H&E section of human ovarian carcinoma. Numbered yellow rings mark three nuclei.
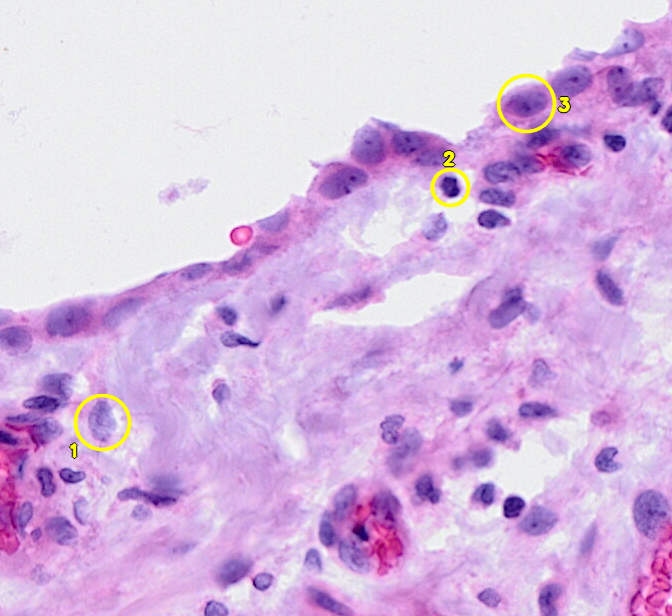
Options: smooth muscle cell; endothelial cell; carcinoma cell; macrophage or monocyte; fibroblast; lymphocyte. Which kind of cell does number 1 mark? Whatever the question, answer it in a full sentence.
The cell given label 1 is a fibroblast.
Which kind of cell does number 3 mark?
Classified as a carcinoma cell is the cell with the number 3.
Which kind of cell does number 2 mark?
Cell 2 in the field is a lymphocyte.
